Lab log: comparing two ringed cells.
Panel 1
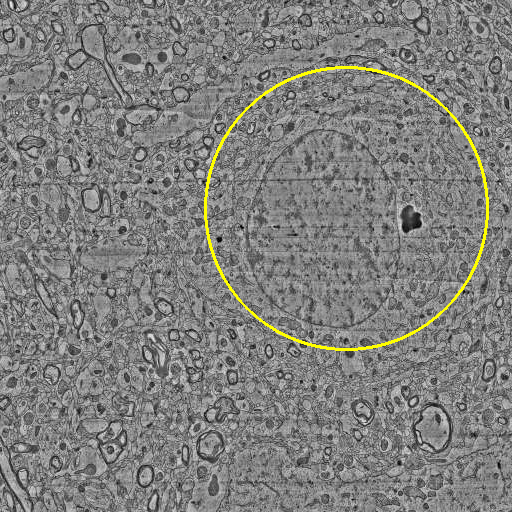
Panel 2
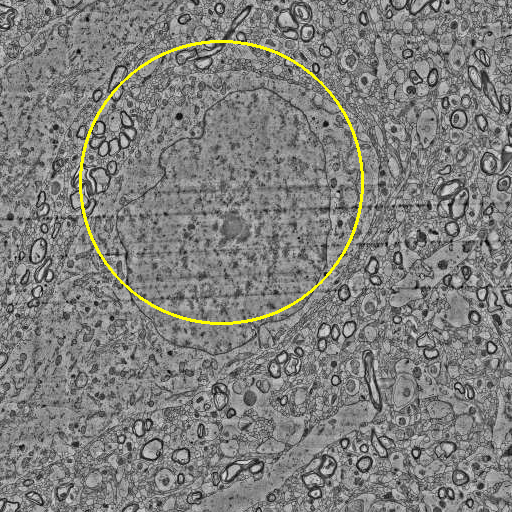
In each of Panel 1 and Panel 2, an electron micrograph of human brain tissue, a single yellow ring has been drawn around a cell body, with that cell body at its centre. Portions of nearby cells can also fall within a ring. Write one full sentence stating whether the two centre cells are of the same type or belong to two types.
The cells at the ring centres in Panel 1 and Panel 2 belong to two types.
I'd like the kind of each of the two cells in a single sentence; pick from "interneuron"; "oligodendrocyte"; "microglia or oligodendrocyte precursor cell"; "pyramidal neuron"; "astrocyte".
The first ring marks an interneuron, and the second ring marks a pyramidal neuron.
